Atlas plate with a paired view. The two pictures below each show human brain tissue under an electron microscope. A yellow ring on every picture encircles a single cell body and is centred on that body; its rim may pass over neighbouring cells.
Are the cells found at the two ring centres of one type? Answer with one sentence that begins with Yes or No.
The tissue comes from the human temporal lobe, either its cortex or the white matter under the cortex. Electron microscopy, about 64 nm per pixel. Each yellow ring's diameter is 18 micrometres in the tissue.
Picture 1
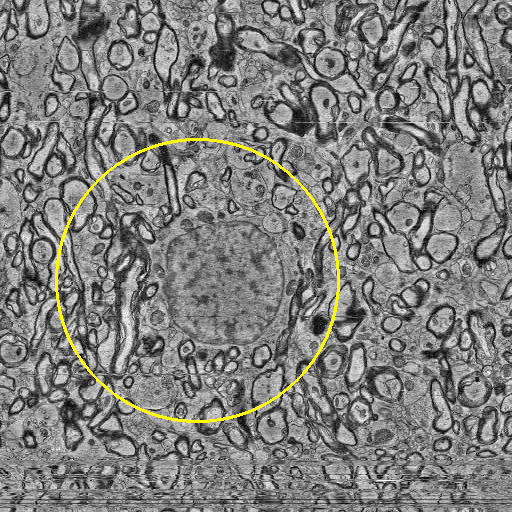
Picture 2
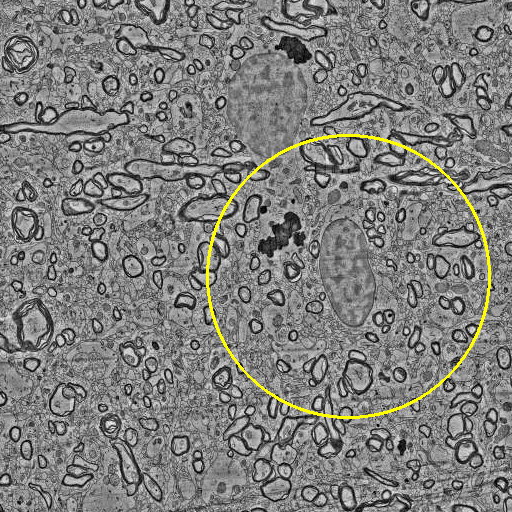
No, the two cells lying at the centres of the rings are of two types.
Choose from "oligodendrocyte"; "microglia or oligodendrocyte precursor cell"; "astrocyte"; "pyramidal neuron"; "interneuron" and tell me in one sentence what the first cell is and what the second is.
What the first ring is centred on is an oligodendrocyte; what the second ring is centred on is a microglial cell or oligodendrocyte precursor cell.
